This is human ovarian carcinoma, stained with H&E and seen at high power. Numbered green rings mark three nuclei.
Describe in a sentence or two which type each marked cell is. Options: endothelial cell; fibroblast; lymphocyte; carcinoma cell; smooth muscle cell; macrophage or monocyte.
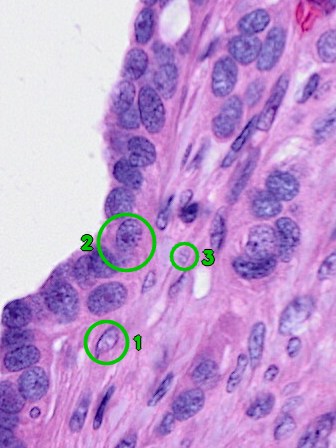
Cells 1 and 3 are fibroblasts. Cell 2 is a carcinoma cell.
